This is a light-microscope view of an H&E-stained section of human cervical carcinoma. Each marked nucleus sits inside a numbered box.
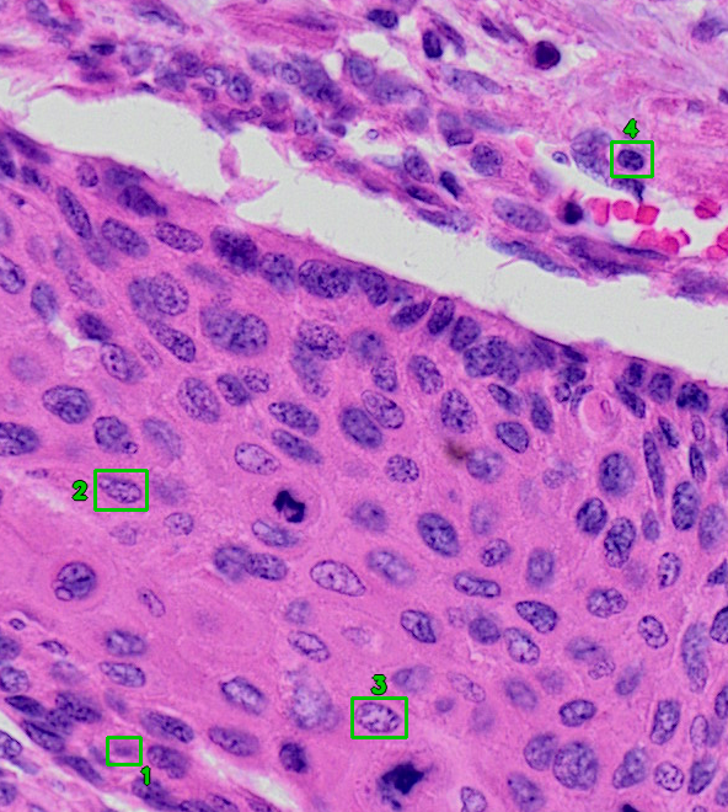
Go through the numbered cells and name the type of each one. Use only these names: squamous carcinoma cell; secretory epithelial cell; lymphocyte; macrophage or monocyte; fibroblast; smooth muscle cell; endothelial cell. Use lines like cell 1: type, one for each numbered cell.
cell 1: squamous carcinoma cell
cell 2: squamous carcinoma cell
cell 3: squamous carcinoma cell
cell 4: lymphocyte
